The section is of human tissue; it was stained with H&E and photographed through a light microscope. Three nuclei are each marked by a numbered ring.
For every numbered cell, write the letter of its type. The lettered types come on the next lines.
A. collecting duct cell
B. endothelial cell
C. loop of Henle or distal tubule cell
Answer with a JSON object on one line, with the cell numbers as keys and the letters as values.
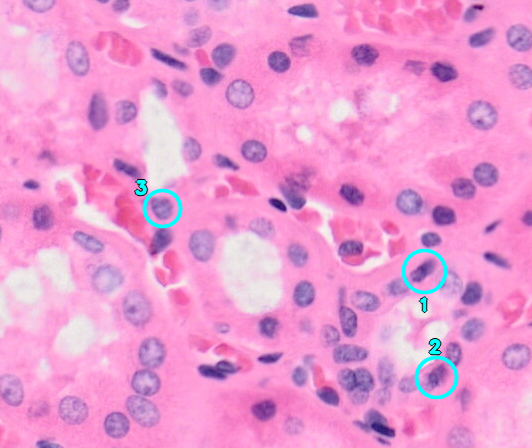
{"1": "A", "2": "A", "3": "C"}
